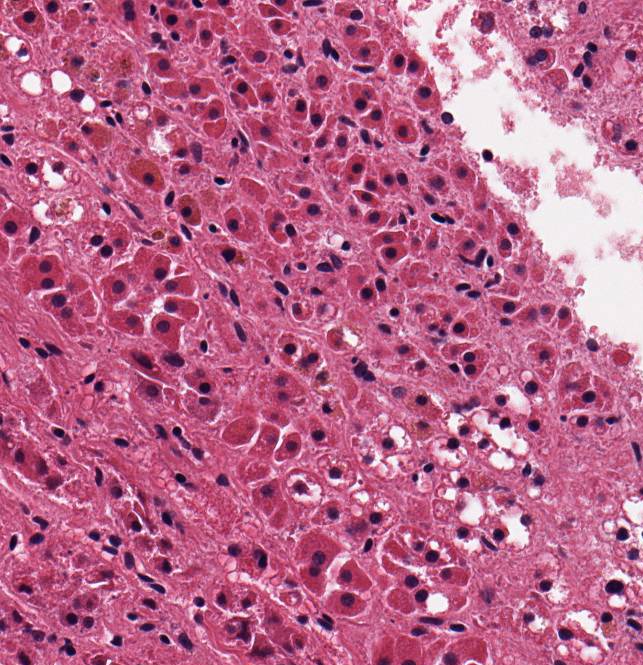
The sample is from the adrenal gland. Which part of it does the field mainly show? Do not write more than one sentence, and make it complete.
The structure this section shows is zona reticularis.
